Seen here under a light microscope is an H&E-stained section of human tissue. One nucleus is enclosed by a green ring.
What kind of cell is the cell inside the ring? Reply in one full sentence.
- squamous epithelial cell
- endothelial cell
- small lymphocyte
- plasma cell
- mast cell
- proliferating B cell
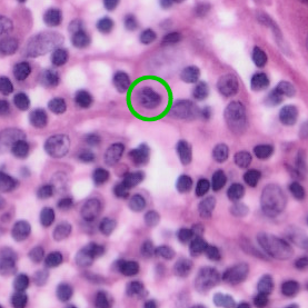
The cell meant here is an endothelial cell.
